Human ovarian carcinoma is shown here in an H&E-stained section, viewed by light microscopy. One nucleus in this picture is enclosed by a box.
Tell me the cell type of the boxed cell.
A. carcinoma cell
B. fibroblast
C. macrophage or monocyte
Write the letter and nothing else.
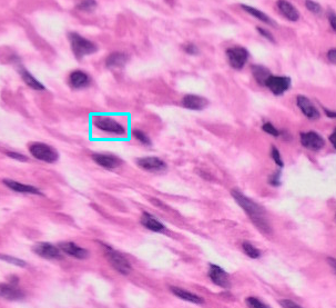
B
